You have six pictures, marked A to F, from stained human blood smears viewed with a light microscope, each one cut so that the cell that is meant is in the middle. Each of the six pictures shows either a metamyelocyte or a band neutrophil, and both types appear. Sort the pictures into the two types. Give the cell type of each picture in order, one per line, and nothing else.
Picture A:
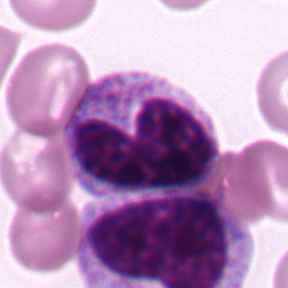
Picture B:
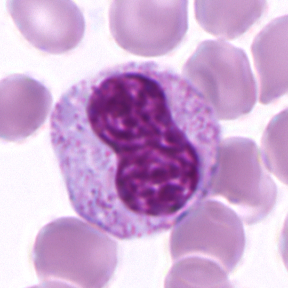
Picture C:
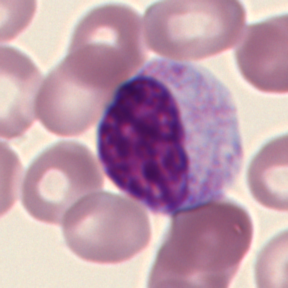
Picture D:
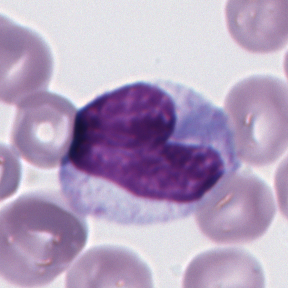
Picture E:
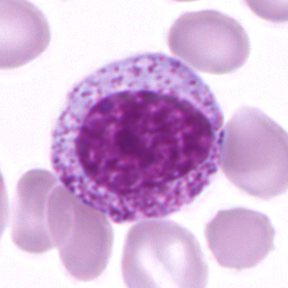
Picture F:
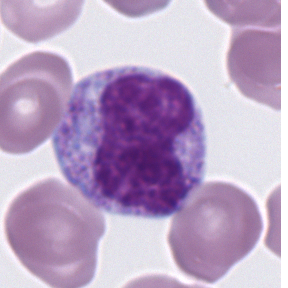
band neutrophil
metamyelocyte
metamyelocyte
band neutrophil
metamyelocyte
metamyelocyte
